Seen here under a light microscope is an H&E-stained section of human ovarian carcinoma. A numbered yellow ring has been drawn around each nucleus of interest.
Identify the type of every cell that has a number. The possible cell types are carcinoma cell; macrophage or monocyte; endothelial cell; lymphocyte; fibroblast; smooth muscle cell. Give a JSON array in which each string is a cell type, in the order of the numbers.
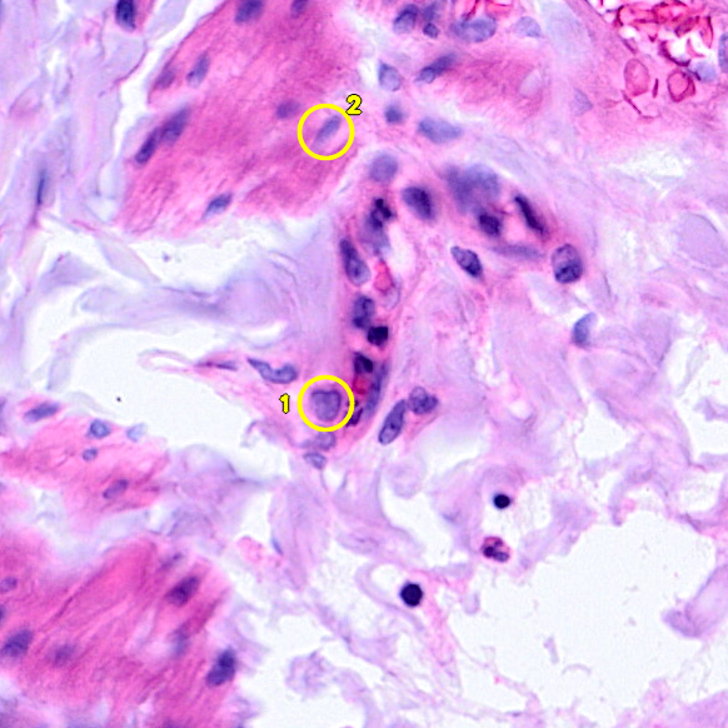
["endothelial cell", "smooth muscle cell"]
